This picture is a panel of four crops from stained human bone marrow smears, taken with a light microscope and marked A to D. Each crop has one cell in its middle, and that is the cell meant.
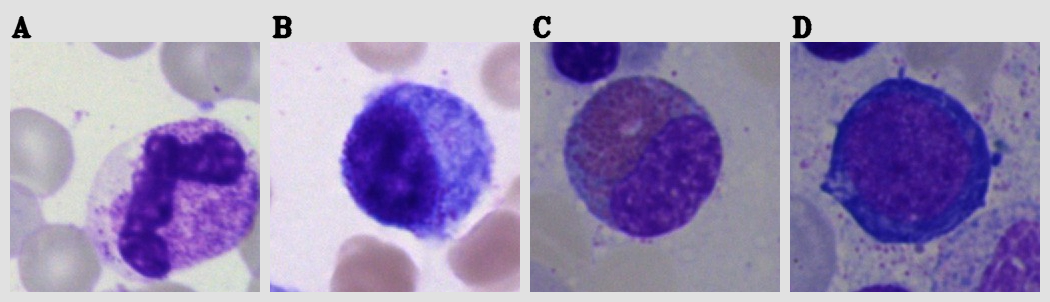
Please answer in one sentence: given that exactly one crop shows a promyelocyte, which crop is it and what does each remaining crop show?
In short, crop B is a promyelocyte, and crop A is a segmented neutrophil, crop C is an eosinophil and crop D is a proerythroblast.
